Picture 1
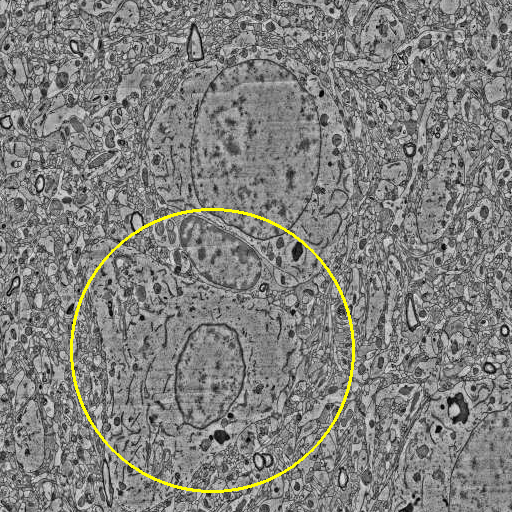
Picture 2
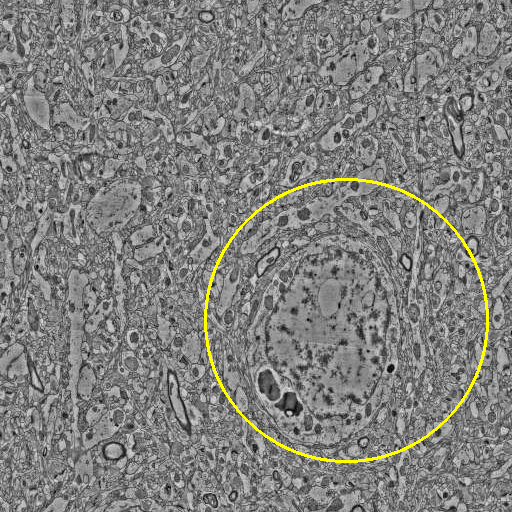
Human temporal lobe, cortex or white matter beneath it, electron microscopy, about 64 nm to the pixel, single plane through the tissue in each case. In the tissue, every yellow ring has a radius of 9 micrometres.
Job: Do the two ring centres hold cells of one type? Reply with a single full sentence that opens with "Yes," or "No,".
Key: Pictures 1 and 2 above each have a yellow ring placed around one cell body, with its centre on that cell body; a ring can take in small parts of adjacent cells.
No, the cells at the two ring centres are of two separate types.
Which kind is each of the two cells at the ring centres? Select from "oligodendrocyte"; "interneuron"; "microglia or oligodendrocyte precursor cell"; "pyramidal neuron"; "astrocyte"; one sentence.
The cell at the centre of the ring is a pyramidal neuron in the first picture and an interneuron in the second.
